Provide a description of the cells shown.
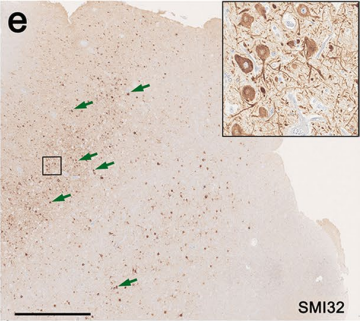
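This is a low-power view of cortex containing scattered dysmorphic neurons stained brown. The brown cells are dispersed through the tissue without the regular rows or orientation of normal cortex. The field fades toward an unstained pale region at the surface on the right. The inset at higher power shows large neurons with dense brown cytoplasm and thick brown processes running in different directions. A fine brown meshwork of processes fills the background of the inset.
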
